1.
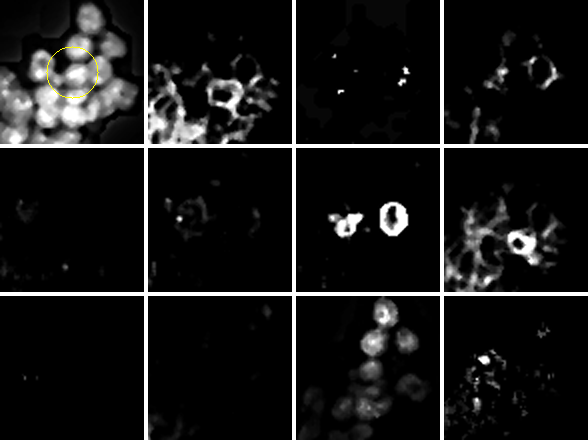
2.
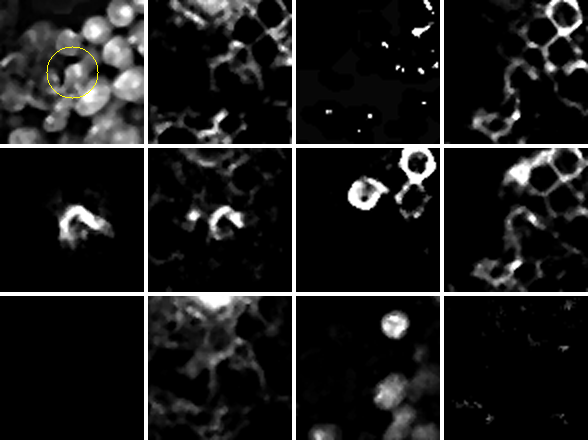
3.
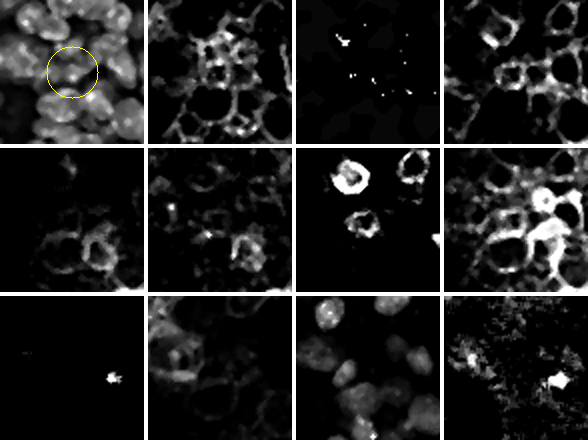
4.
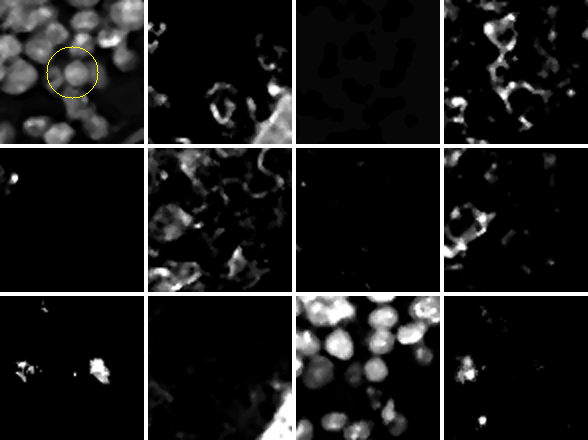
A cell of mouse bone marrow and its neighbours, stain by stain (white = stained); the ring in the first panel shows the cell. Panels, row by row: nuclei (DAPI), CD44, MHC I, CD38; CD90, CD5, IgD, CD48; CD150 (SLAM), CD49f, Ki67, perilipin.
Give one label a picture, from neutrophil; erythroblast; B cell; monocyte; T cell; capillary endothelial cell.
Picture 1: B cell
Picture 2: T cell
Picture 3: B cell
Picture 4: erythroblast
